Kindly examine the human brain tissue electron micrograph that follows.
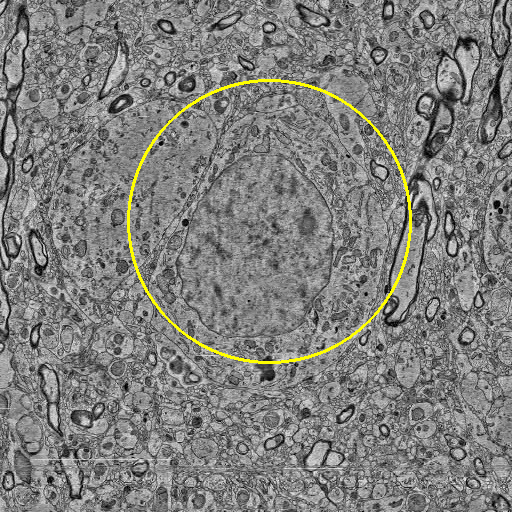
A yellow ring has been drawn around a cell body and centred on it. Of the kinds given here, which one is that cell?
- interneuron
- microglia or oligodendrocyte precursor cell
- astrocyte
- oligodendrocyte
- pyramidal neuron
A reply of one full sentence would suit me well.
The micrograph's ringed cell, the one at the ring's centre, is an interneuron.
